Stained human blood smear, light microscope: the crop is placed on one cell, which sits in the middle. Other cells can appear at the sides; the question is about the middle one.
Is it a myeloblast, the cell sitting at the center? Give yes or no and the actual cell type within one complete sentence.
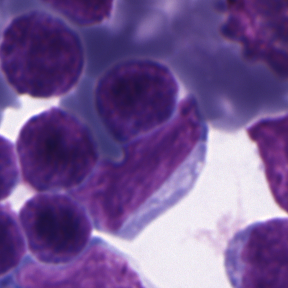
Yes, the cell found in the center of the crop is a myeloblast.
